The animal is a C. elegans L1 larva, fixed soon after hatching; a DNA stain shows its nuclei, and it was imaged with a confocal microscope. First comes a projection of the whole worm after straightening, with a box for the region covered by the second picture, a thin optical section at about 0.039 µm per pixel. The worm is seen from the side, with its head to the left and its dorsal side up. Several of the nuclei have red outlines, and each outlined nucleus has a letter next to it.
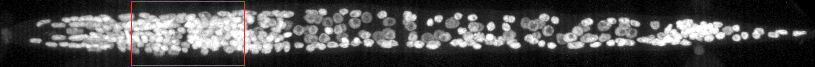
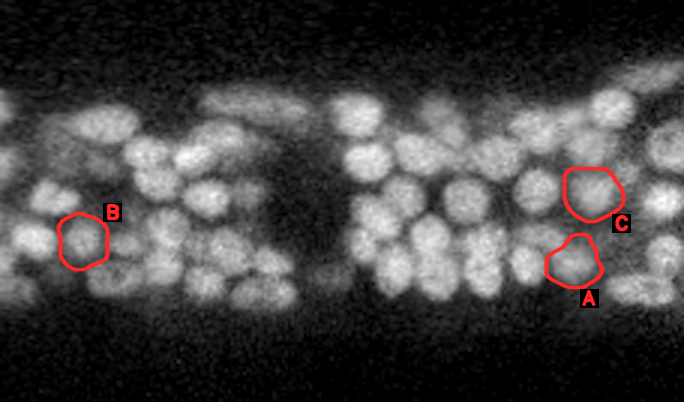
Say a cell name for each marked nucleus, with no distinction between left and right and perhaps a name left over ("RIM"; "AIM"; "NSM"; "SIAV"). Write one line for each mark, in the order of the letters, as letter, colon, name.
A: AIM
B: NSM
C: RIM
